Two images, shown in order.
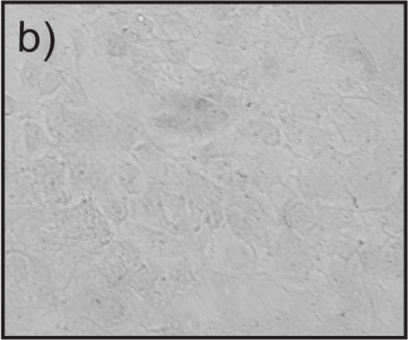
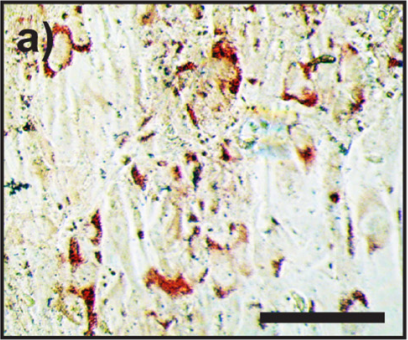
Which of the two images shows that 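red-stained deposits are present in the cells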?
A: The second image.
